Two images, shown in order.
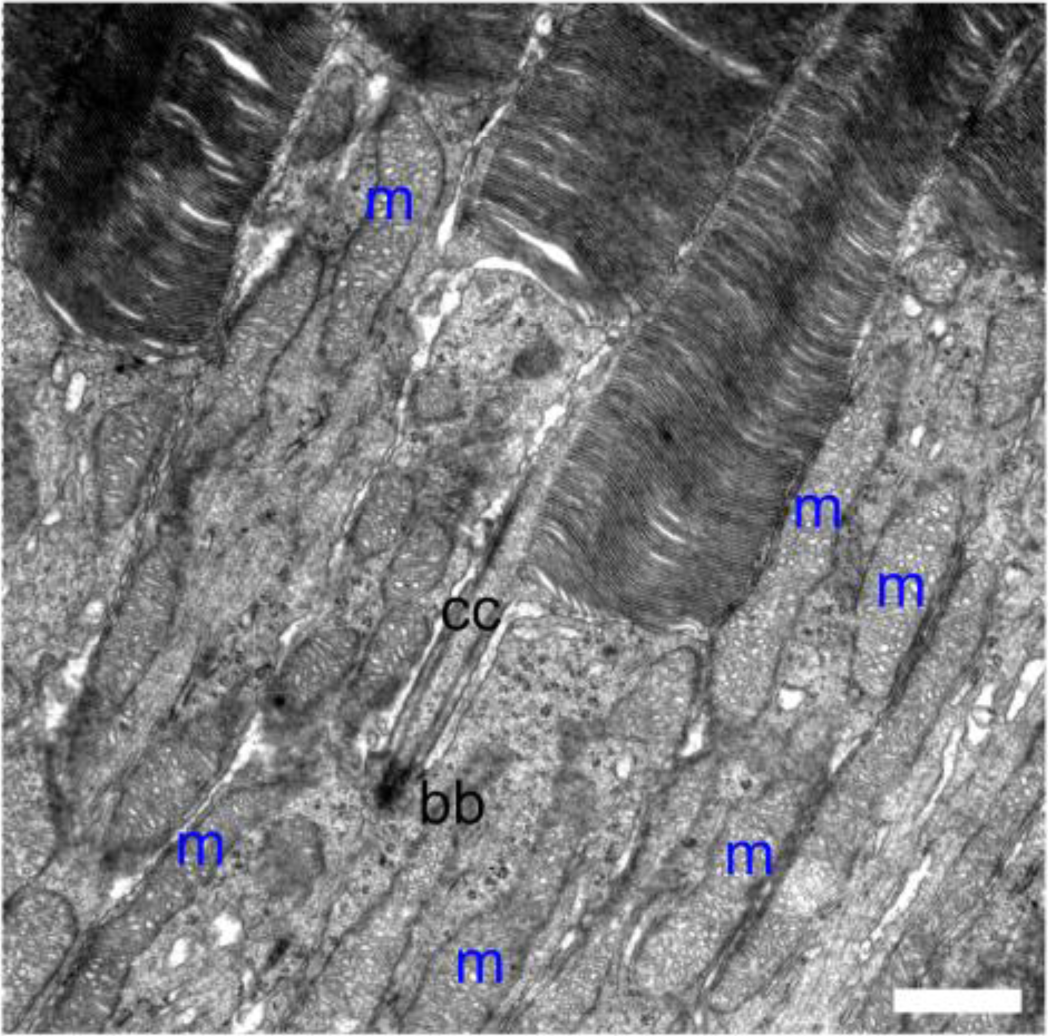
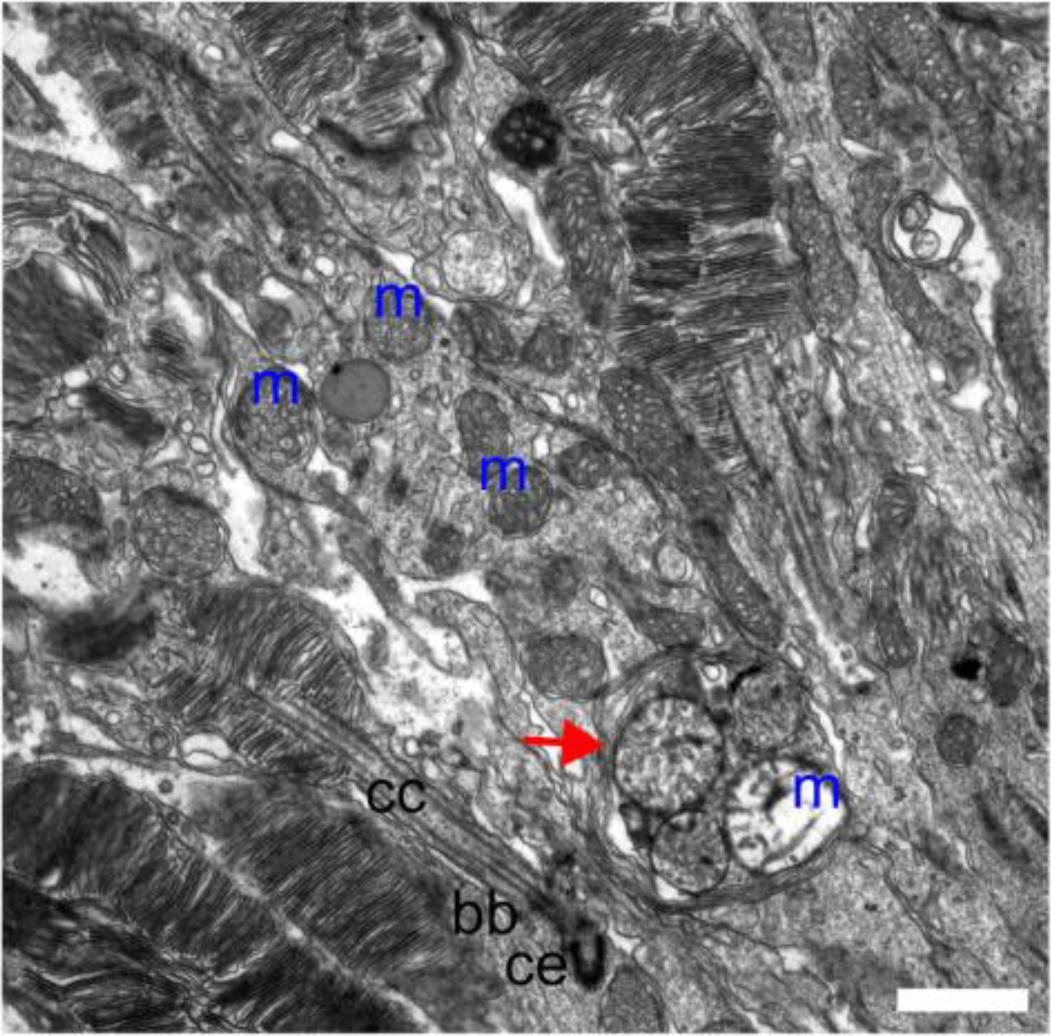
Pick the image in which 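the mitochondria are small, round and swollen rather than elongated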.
The second image.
